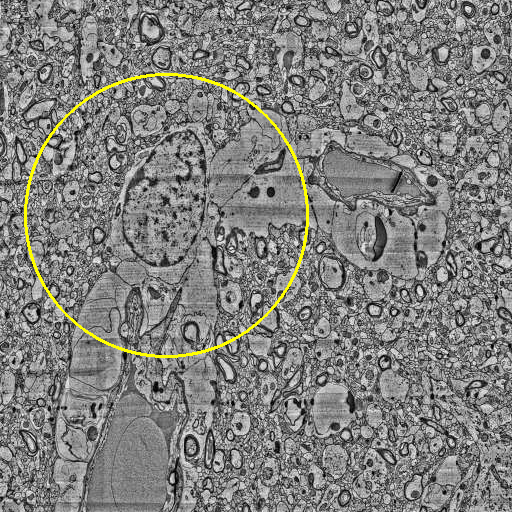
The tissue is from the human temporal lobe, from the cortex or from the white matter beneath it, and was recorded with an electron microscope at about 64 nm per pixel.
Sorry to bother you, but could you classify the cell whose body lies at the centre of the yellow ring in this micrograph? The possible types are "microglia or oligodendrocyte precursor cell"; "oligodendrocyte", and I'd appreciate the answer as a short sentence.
The ringed cell body is that of a microglial cell or oligodendrocyte precursor cell.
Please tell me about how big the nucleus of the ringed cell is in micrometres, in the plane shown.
In this plane the nucleus measures about 9 by 5 micrometres and is clearly longer than it is wide.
